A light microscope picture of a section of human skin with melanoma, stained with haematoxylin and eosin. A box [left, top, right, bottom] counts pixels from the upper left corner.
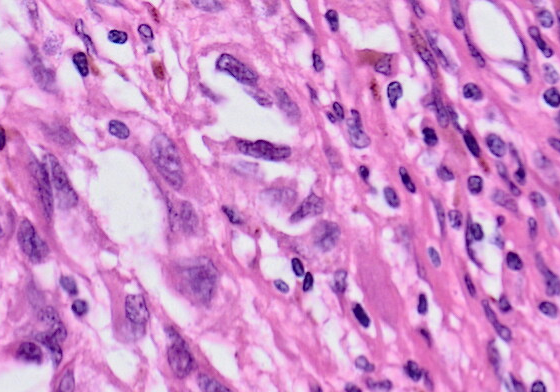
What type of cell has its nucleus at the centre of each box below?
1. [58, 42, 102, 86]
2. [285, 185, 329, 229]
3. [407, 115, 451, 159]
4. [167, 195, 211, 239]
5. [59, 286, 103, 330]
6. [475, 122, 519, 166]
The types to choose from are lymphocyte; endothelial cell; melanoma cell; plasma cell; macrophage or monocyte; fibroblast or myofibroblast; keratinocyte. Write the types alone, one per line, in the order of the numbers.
plasma cell
melanoma cell
plasma cell
melanoma cell
lymphocyte
lymphocyte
